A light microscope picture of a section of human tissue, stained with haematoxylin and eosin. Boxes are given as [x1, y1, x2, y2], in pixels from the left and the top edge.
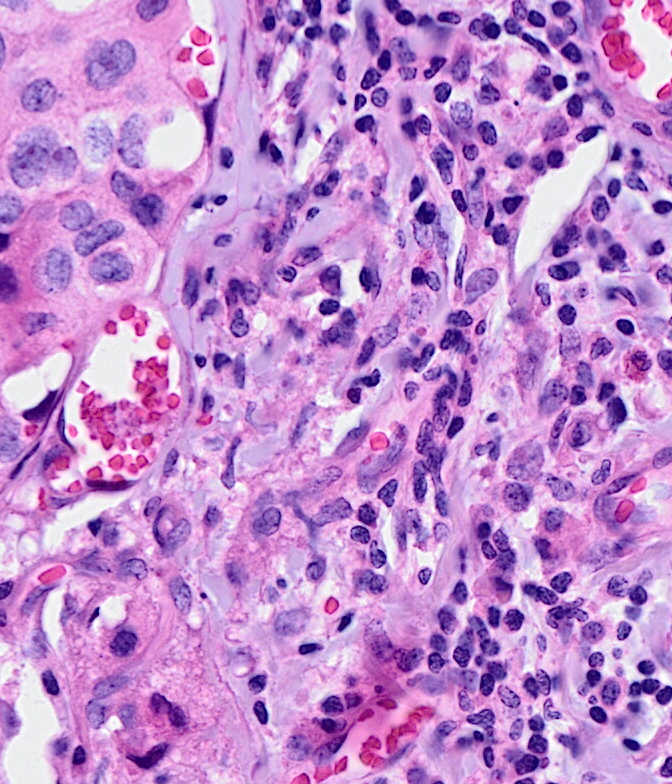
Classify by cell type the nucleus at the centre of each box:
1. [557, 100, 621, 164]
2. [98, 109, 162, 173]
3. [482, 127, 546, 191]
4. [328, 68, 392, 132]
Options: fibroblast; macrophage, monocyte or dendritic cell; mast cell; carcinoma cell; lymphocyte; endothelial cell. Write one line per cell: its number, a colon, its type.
1: lymphocyte
2: carcinoma cell
3: lymphocyte
4: lymphocyte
